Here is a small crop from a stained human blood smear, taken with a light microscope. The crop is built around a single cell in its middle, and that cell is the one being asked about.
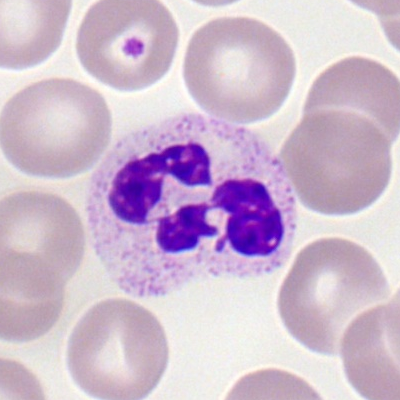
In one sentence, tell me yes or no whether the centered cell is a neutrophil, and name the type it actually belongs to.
Yes, the cell sitting in the center is a neutrophil.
